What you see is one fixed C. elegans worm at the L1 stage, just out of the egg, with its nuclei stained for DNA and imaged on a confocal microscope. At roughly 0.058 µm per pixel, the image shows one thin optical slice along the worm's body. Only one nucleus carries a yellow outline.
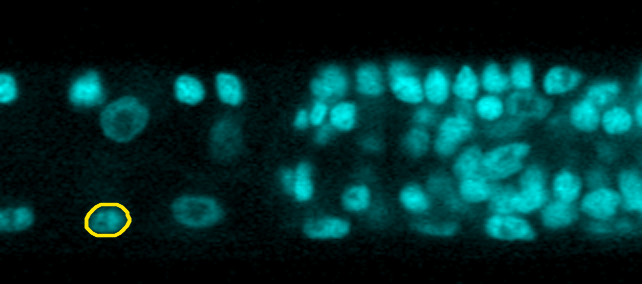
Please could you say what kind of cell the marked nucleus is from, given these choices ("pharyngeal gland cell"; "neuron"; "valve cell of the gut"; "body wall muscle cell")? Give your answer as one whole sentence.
The nucleus comes from a body wall muscle cell.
